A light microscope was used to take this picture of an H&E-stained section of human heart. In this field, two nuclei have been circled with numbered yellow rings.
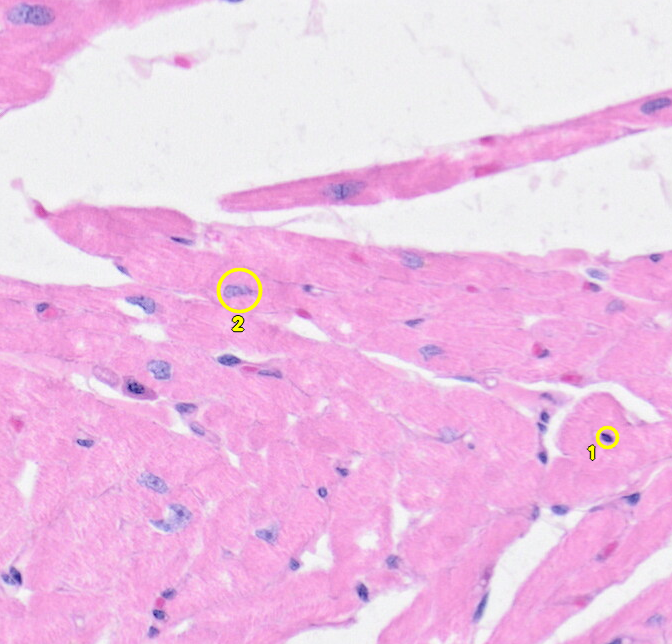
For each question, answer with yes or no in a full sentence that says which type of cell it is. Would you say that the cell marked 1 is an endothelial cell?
Yes, that is correct: the cell numbered 1 is an endothelial cell.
